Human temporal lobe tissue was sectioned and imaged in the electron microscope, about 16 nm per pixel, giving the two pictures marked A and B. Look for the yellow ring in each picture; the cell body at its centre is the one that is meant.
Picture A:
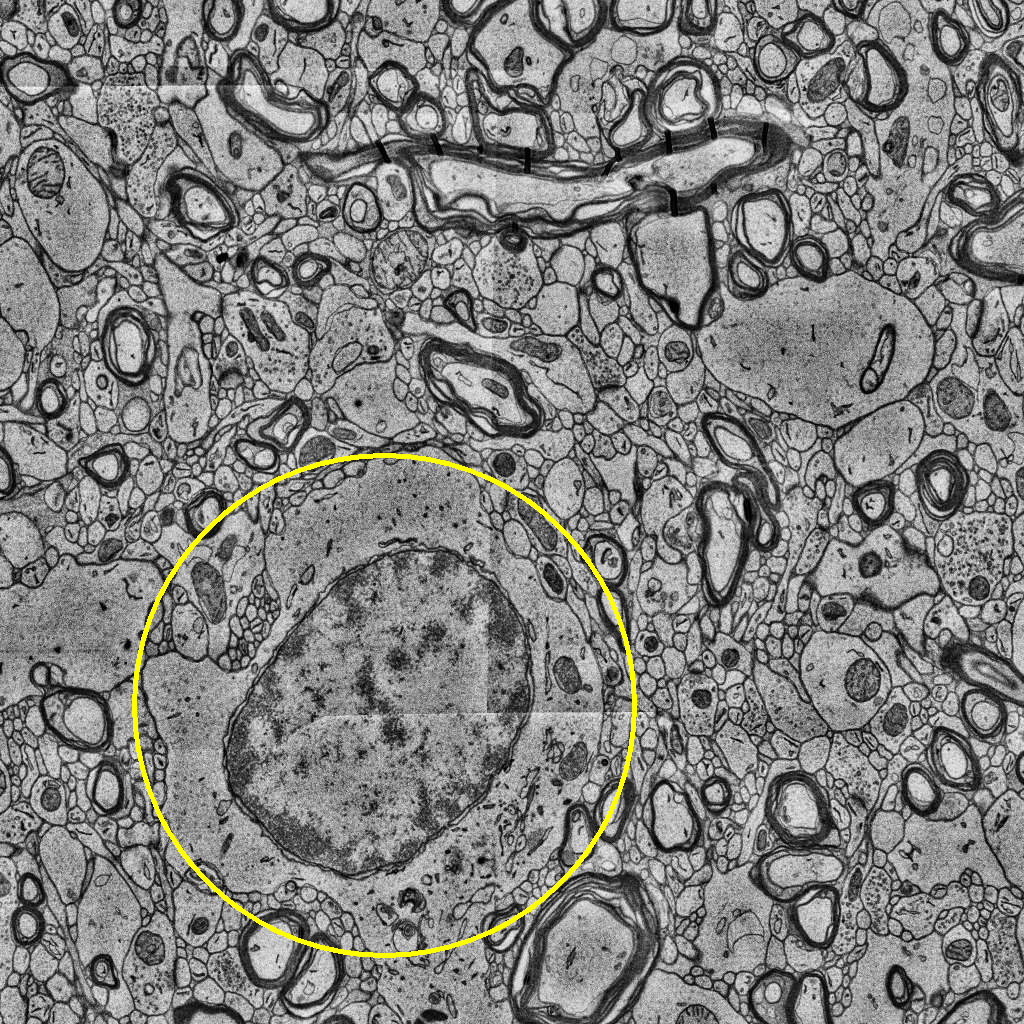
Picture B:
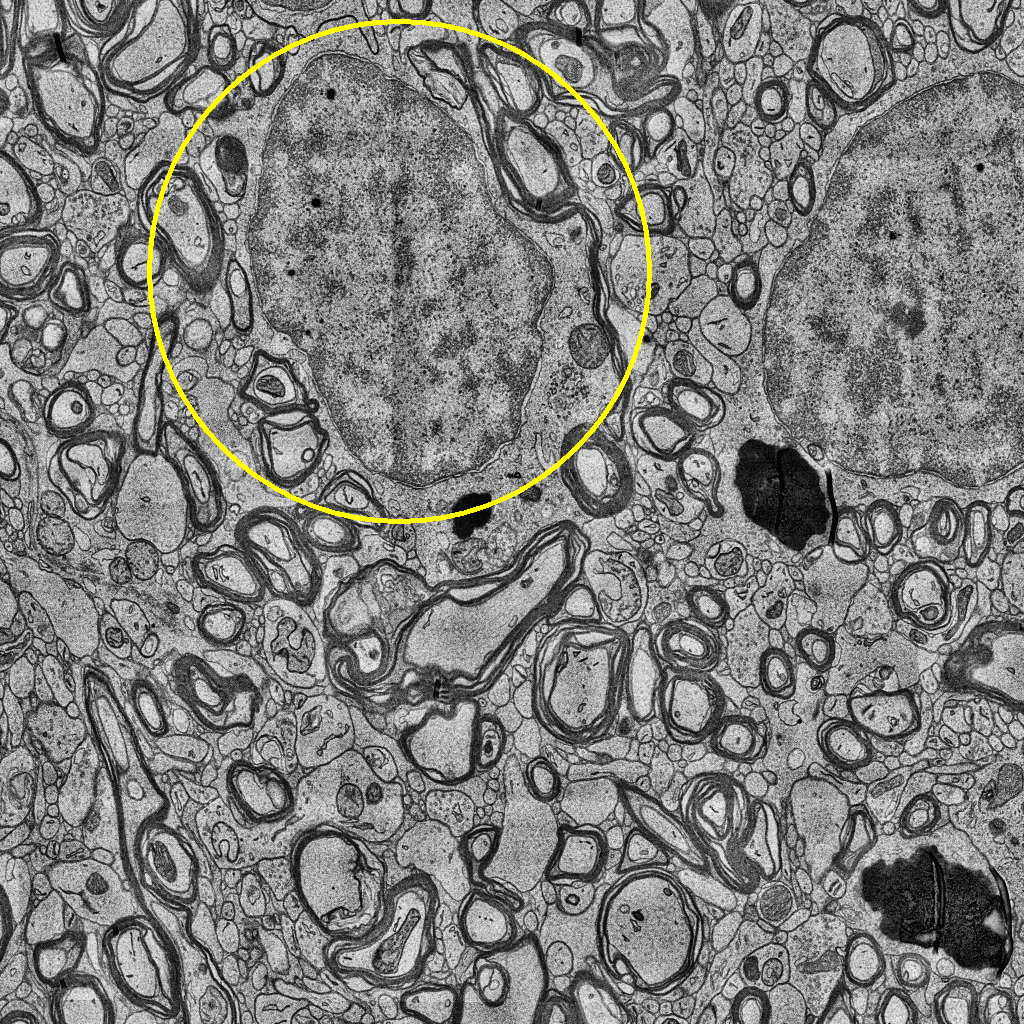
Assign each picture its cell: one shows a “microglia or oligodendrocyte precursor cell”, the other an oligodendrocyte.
It is picture A that shows a “microglia or oligodendrocyte precursor cell”, and picture B that shows an oligodendrocyte.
